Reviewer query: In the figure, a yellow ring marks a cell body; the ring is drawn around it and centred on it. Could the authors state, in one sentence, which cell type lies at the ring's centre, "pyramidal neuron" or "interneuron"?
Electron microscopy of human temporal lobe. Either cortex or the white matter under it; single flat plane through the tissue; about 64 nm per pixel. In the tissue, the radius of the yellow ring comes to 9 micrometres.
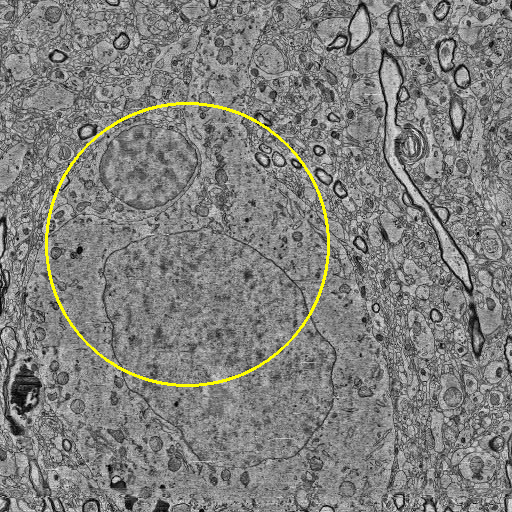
The ring is centred on a pyramidal neuron.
